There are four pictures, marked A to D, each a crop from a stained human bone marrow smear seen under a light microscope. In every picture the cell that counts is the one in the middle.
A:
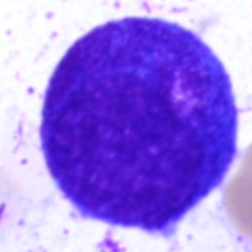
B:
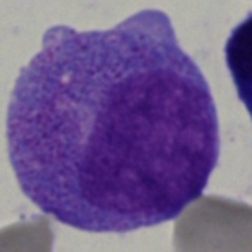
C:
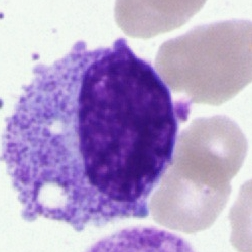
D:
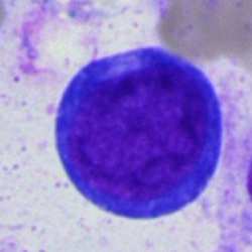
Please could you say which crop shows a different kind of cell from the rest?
D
